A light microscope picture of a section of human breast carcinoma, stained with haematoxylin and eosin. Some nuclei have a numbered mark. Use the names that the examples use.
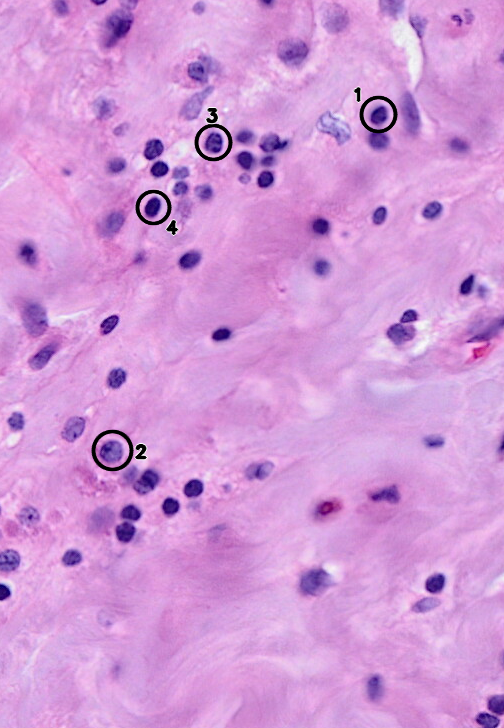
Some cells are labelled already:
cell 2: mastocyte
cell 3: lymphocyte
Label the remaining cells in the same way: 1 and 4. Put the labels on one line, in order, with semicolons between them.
lymphocyte; lymphocyte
